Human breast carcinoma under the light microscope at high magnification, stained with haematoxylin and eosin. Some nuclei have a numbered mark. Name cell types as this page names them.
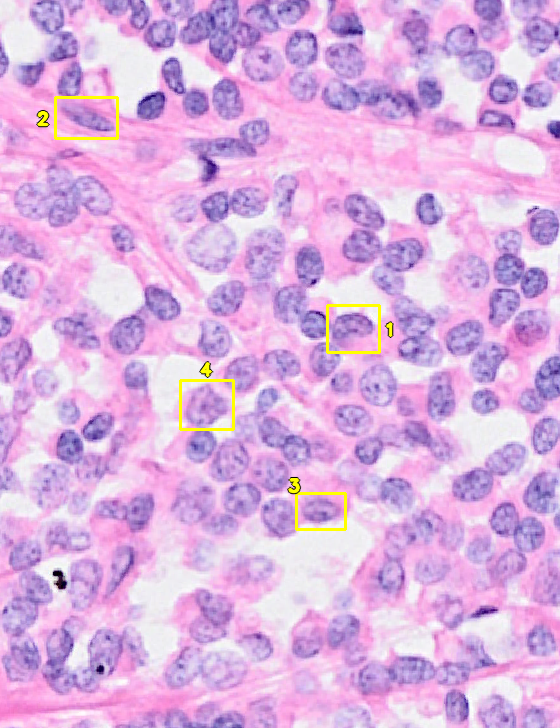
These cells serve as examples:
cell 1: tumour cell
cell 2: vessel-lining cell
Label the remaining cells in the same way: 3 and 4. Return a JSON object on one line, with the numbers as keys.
{"3": "tumour cell", "4": "tumour cell"}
